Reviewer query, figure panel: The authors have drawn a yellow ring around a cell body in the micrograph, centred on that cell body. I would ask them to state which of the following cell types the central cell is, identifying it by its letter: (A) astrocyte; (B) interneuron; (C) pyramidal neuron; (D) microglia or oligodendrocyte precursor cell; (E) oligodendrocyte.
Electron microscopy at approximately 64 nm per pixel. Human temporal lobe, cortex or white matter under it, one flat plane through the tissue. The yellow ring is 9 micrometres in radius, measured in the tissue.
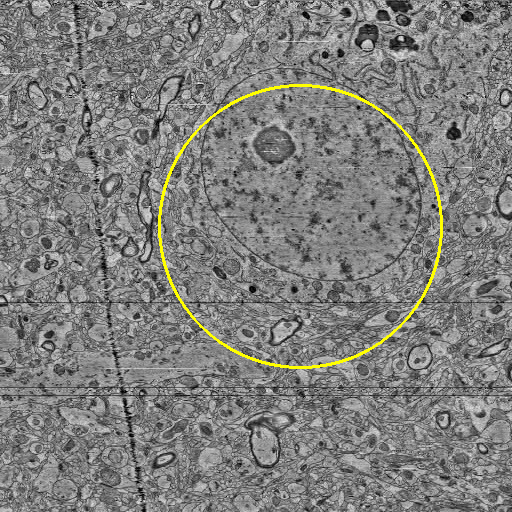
C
